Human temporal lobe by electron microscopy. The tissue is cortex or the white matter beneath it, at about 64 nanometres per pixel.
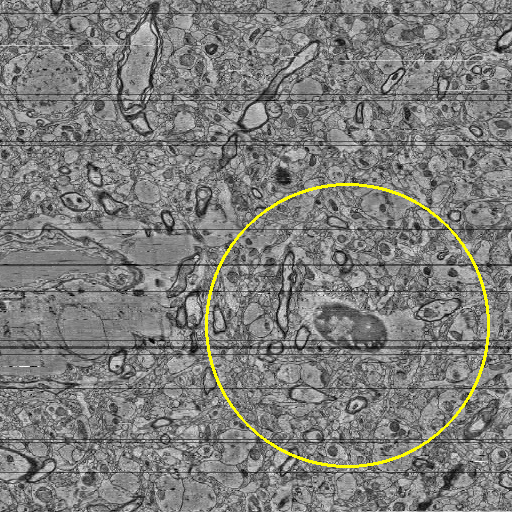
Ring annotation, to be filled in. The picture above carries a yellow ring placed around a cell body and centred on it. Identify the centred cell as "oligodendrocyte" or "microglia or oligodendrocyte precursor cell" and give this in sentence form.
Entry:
The cell in the middle of the ring is a microglial cell or oligodendrocyte precursor cell.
